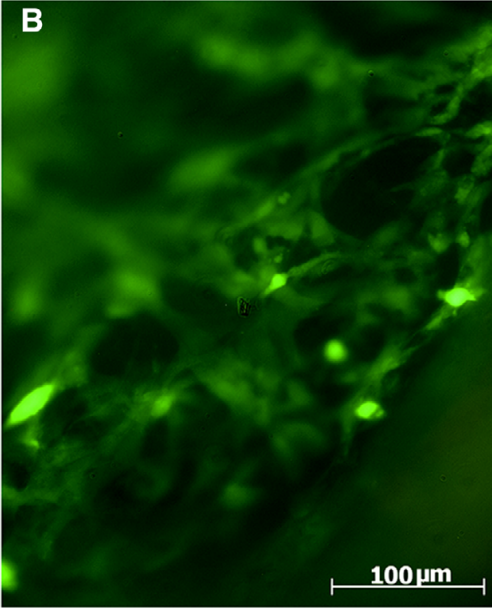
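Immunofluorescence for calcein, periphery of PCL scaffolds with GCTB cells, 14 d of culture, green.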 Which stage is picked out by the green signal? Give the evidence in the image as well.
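Viable cells. Some round and some elongated green cells form a network.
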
